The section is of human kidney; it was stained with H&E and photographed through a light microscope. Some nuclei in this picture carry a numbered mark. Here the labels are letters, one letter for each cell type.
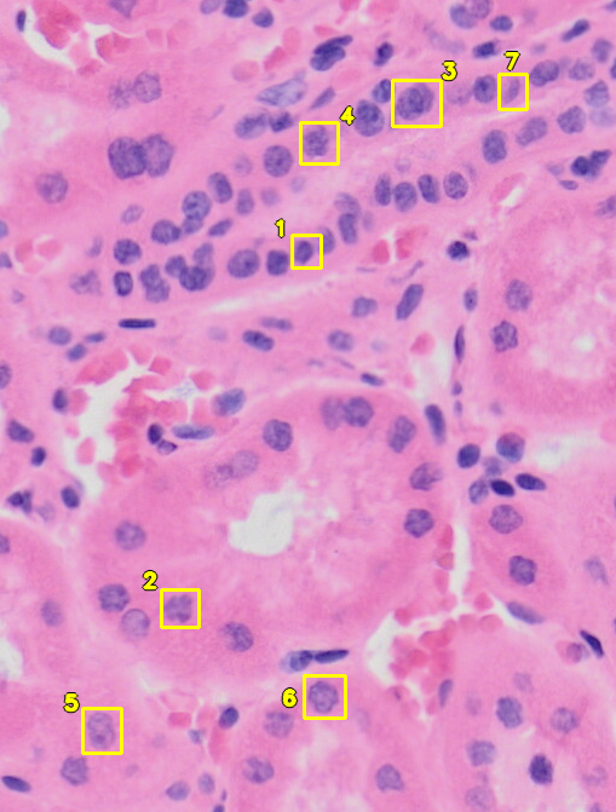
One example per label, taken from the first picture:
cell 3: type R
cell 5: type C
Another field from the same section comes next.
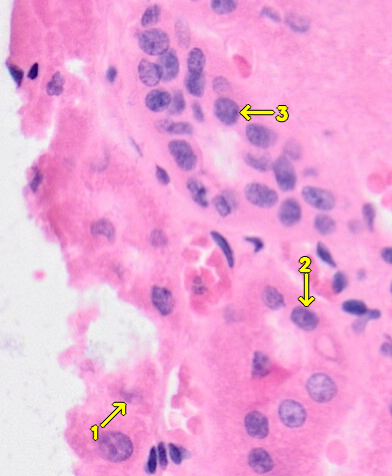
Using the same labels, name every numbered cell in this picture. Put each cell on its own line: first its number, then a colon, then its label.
1: type C
2: type C
3: type R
